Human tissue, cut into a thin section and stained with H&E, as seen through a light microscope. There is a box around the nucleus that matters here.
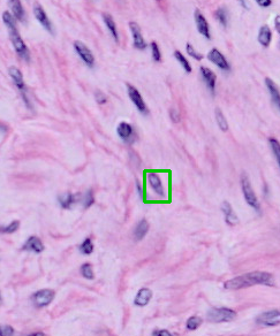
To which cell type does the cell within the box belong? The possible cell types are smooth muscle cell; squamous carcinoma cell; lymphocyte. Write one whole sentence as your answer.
Among the cells in this section, the cell within the box is a smooth muscle cell.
